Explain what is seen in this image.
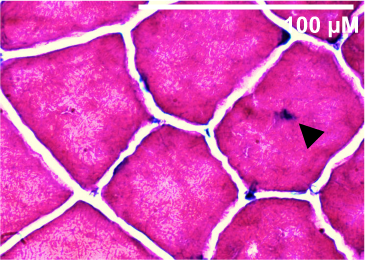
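A cross-section of skeletal muscle shows large polygonal pink myofibers separated by thin pale gaps. Most dark purple nuclei lie at the fiber edges, but one fiber holds a dark nucleus well inside its body, a centralized nucleus.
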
